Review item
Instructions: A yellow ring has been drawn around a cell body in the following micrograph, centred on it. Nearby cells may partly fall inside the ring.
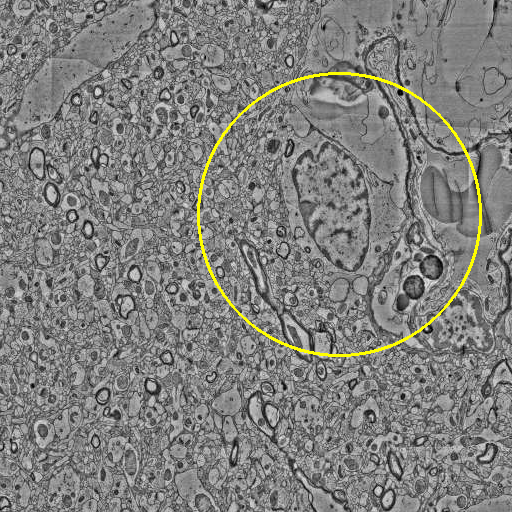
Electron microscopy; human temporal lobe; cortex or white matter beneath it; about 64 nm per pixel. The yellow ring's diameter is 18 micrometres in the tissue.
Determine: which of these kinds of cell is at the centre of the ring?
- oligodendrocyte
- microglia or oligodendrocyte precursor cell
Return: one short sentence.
The cell body in the middle of the ring is that of a microglial cell or oligodendrocyte precursor cell.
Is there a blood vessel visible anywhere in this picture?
Yes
